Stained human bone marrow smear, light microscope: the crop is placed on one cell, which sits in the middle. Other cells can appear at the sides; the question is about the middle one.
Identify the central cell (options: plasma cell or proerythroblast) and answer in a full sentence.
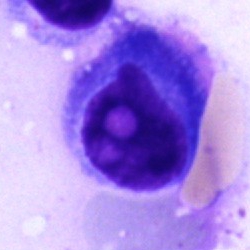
Centrally within this crop lies a plasma cell.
